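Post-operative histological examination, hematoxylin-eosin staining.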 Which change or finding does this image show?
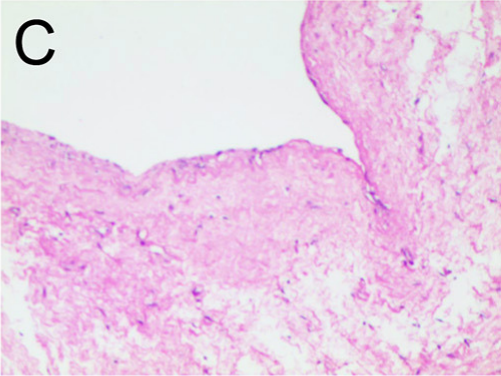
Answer: hyalinosis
